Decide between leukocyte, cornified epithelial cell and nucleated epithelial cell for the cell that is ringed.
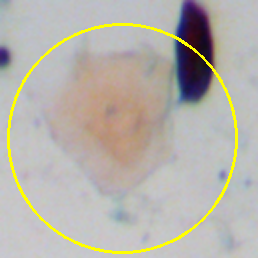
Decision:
I take the ringed cell for a cornified epithelial cell.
